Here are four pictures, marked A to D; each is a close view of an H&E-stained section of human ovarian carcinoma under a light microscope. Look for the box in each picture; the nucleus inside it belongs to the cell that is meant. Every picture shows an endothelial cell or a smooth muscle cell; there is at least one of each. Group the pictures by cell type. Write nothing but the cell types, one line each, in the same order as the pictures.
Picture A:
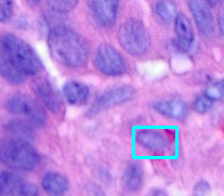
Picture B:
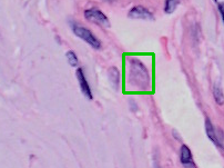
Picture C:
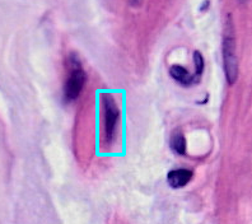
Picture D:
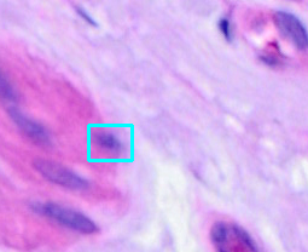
endothelial cell
endothelial cell
smooth muscle cell
smooth muscle cell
